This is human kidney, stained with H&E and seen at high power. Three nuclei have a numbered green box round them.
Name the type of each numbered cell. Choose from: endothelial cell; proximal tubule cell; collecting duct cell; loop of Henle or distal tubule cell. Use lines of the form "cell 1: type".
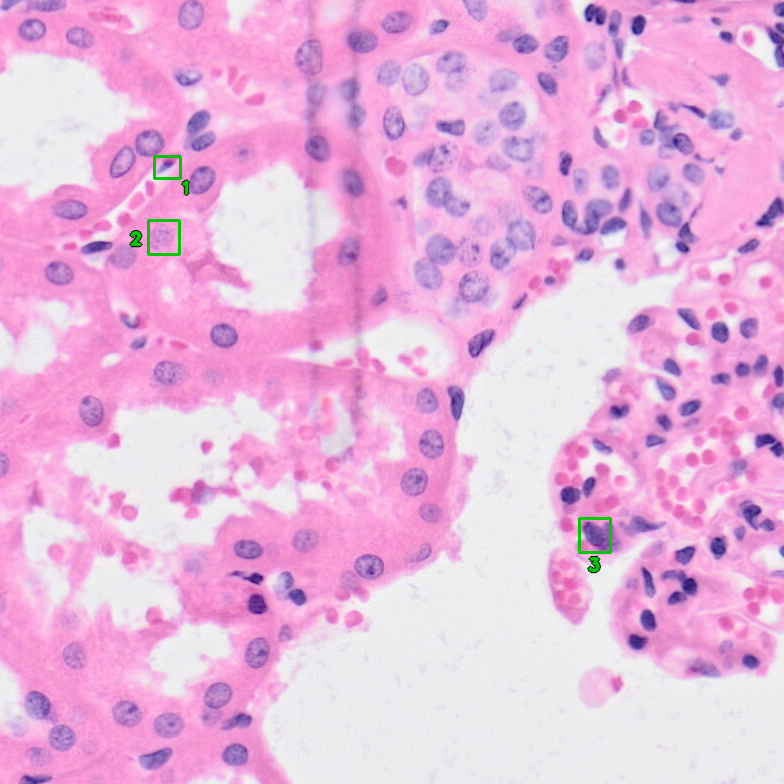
cell 1: endothelial cell
cell 2: proximal tubule cell
cell 3: endothelial cell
